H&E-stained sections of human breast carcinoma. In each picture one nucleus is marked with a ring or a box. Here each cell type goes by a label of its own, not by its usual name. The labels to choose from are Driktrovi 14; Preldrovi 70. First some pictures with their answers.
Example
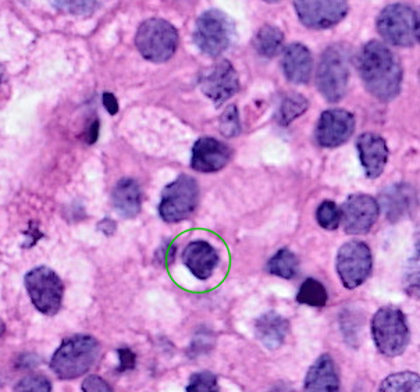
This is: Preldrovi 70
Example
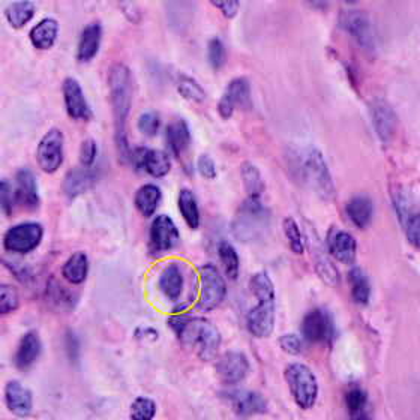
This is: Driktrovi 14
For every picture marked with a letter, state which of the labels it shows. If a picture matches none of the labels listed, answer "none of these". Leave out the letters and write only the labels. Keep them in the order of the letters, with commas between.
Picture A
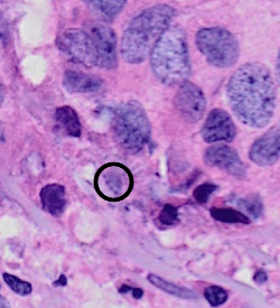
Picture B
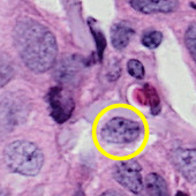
none of these, none of these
